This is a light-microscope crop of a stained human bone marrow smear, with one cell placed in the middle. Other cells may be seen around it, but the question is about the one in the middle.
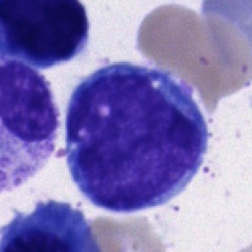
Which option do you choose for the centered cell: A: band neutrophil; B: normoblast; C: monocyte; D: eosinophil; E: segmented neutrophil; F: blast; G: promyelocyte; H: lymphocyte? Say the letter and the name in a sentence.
Correctly, option F names the cell in the middle a blast.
